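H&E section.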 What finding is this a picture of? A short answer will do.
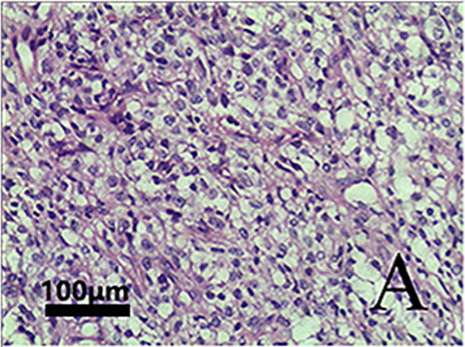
Diffuse invasion of tumor cells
